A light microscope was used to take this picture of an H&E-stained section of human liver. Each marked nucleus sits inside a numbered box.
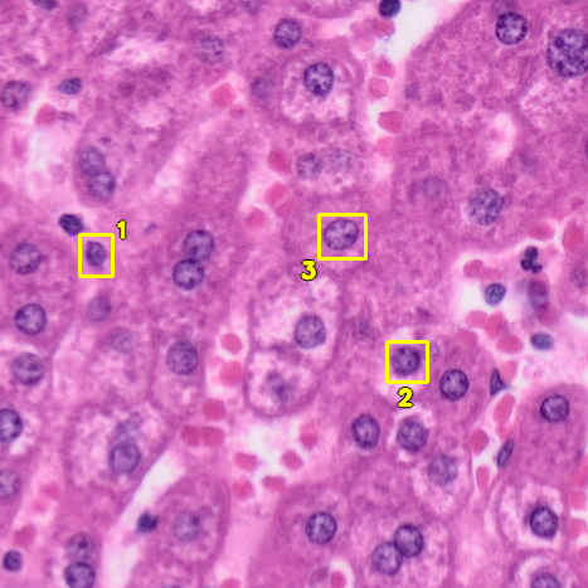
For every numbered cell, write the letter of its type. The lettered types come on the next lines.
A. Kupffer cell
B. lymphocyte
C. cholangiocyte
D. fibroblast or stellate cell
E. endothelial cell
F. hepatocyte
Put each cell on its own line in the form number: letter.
1: B
2: F
3: F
